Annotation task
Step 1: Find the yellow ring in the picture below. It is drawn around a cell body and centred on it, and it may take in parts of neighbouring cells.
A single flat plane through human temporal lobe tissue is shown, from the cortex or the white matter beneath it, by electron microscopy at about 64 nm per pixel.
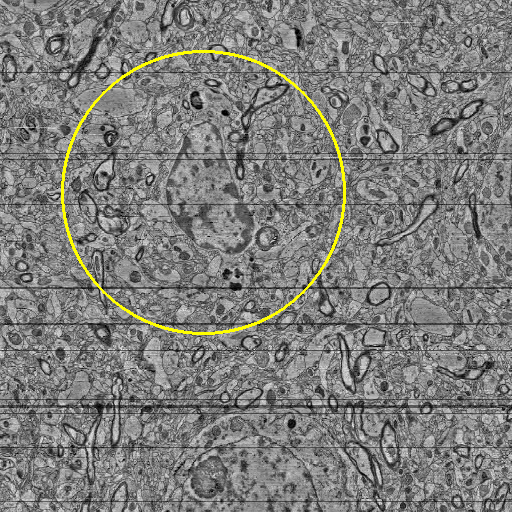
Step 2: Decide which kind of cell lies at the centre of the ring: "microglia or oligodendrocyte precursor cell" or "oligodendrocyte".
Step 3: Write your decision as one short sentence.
The kind of cell at the ring's centre is a microglial cell or oligodendrocyte precursor cell.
